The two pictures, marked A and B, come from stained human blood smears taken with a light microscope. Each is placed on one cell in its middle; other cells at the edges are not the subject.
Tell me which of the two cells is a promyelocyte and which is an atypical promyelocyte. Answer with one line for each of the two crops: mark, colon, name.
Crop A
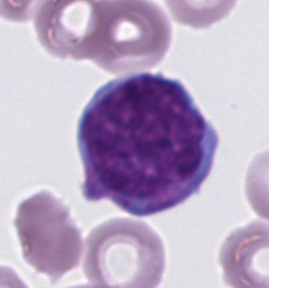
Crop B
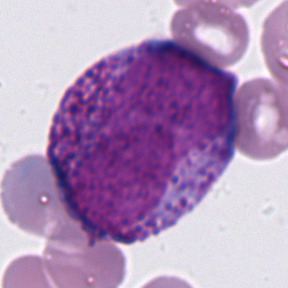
A: atypical promyelocyte
B: promyelocyte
